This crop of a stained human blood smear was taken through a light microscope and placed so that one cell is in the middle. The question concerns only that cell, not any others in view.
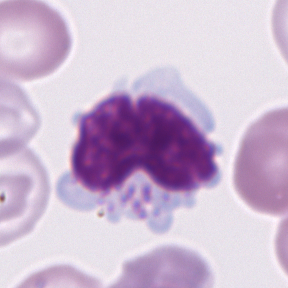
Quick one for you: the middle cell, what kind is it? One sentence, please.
Standing at the centre of this crop is a large granular lymphocyte.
